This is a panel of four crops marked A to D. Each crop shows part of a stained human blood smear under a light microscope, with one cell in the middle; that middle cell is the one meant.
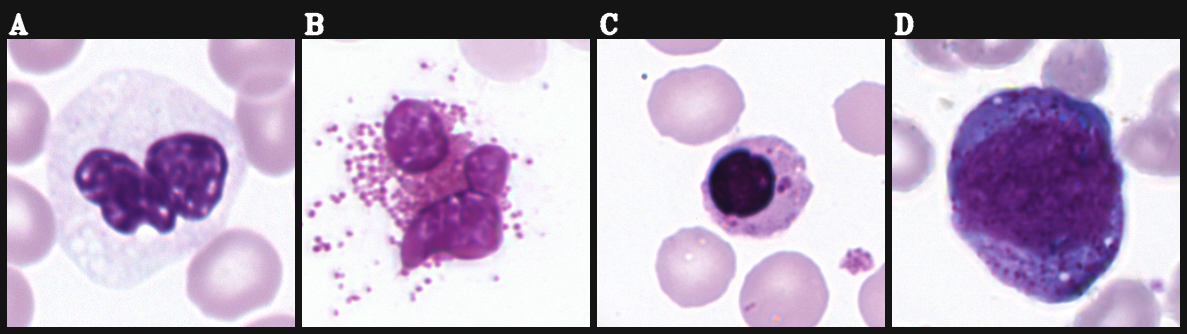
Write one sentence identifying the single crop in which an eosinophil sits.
The correct choice is crop B, the one showing an eosinophil.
